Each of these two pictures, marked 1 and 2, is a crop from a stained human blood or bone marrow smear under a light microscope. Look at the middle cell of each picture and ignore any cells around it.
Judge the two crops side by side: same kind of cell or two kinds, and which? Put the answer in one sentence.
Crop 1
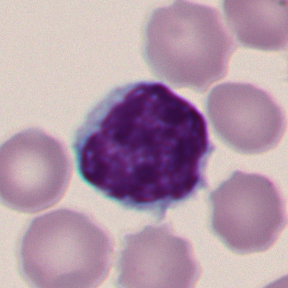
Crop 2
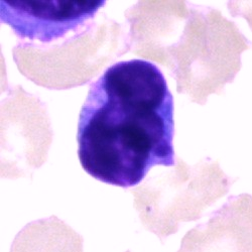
Yes, both crops show lymphocytes, to put it briefly.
